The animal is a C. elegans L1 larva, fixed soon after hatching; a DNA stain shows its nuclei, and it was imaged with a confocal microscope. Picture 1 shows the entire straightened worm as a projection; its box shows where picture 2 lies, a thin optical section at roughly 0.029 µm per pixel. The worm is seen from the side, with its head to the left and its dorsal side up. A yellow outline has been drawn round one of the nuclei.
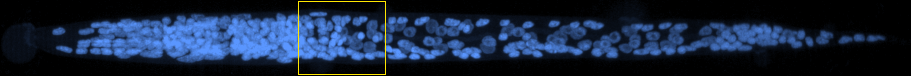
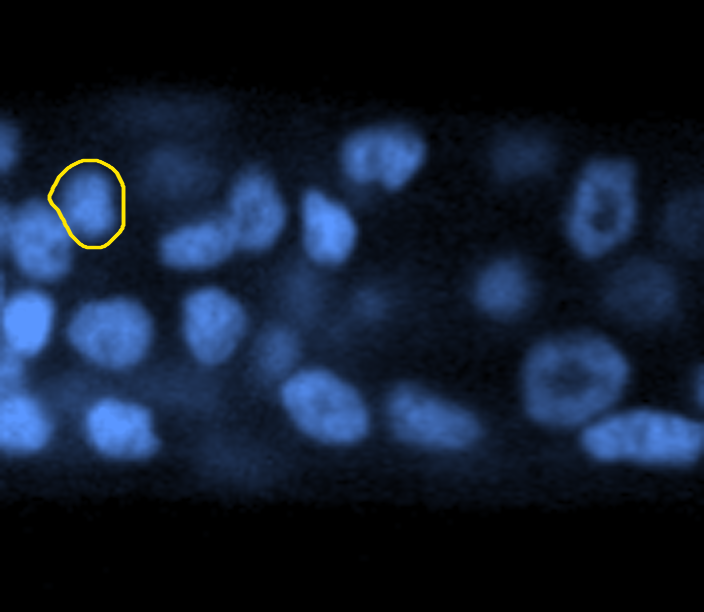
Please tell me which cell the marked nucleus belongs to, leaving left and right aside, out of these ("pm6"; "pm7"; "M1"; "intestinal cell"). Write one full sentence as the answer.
The nucleus is from M1, a neuron.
